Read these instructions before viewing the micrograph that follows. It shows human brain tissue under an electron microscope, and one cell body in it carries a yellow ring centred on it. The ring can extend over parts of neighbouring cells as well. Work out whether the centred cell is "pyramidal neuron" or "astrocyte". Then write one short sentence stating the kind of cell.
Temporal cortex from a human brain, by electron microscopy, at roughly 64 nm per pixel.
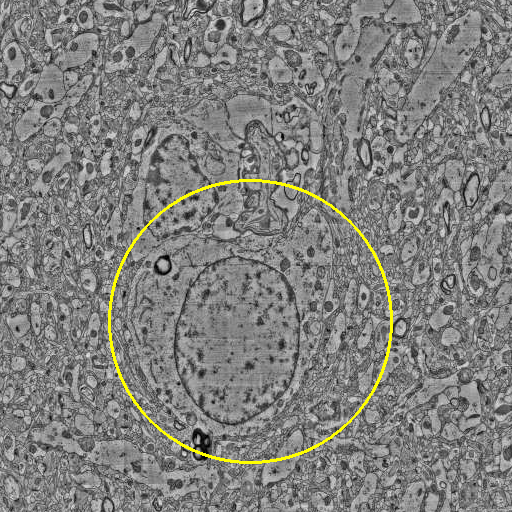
The ringed cell is a pyramidal neuron.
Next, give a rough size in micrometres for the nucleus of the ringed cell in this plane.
Approximately 11 x 8 micrometres in this plane.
